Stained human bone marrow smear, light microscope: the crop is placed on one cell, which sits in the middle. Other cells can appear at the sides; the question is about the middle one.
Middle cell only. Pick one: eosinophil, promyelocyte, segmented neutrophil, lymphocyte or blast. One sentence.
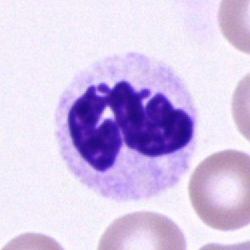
The middle cell in this particular crop is a segmented neutrophil.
